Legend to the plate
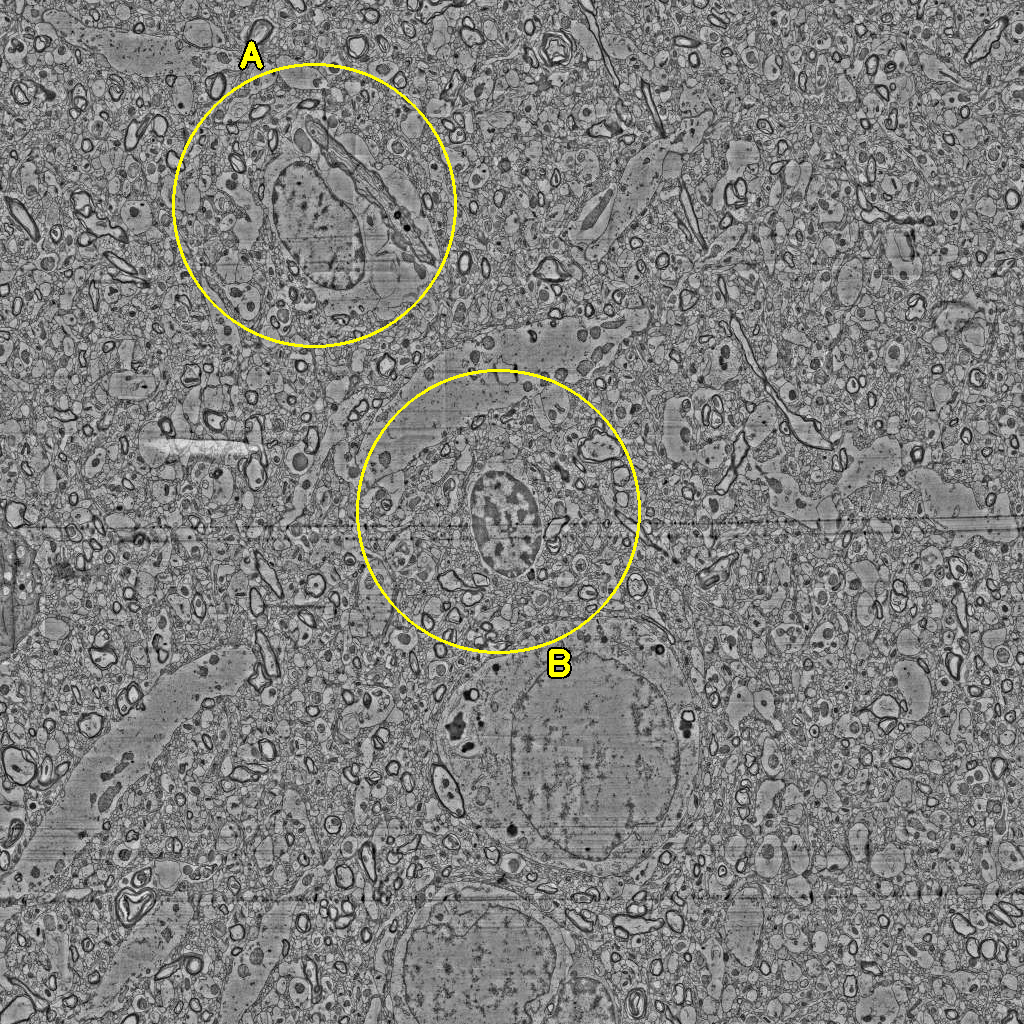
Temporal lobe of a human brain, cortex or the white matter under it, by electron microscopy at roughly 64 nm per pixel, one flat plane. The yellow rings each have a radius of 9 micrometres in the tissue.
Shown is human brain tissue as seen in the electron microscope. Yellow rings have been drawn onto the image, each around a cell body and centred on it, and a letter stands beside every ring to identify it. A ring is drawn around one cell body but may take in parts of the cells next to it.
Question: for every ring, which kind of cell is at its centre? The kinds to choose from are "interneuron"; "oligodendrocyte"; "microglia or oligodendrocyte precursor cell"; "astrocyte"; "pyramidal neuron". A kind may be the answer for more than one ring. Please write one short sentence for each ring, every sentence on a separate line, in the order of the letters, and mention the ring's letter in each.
The kind of cell at the centre of ring A is a microglial cell or oligodendrocyte precursor cell.
The kind of cell at the centre of ring B is a microglial cell or oligodendrocyte precursor cell.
